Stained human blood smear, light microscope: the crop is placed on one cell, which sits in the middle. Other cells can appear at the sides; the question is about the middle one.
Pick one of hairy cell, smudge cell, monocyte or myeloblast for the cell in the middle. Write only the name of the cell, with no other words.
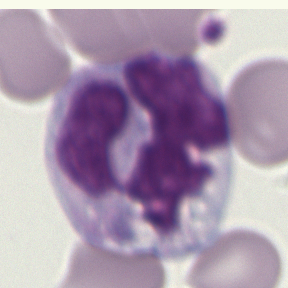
monocyte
